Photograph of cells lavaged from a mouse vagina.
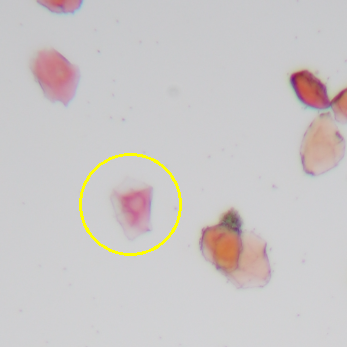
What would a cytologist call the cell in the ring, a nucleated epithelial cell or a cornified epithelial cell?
A cytologist would call it a nucleated epithelial cell.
